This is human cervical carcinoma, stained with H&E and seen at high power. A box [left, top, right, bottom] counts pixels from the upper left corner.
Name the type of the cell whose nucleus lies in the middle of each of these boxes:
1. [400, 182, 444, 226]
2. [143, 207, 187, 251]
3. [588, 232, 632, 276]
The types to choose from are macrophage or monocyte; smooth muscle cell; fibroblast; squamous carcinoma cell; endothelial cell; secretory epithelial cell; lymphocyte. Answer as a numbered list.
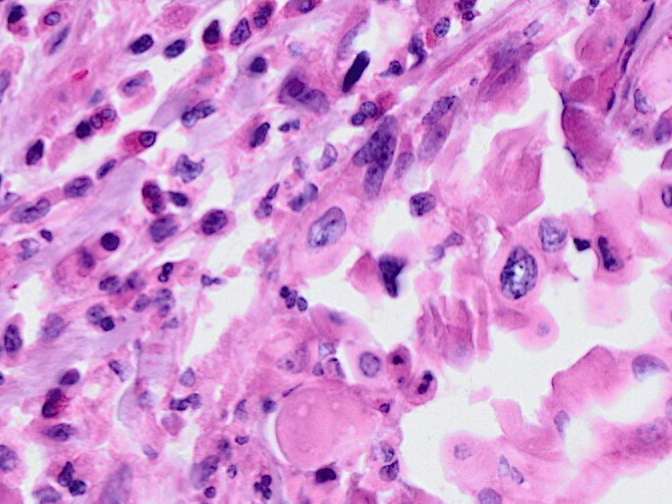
1. macrophage or monocyte
2. macrophage or monocyte
3. squamous carcinoma cell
